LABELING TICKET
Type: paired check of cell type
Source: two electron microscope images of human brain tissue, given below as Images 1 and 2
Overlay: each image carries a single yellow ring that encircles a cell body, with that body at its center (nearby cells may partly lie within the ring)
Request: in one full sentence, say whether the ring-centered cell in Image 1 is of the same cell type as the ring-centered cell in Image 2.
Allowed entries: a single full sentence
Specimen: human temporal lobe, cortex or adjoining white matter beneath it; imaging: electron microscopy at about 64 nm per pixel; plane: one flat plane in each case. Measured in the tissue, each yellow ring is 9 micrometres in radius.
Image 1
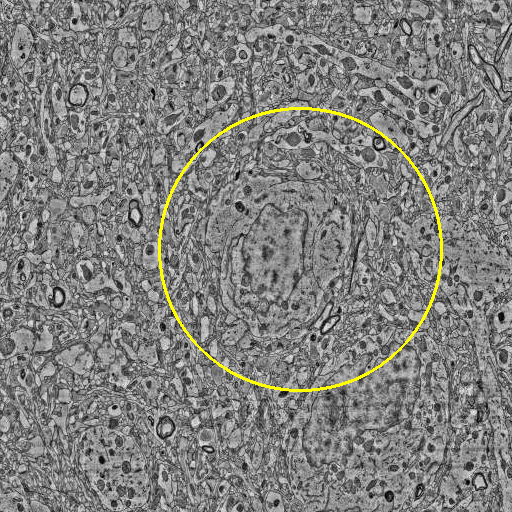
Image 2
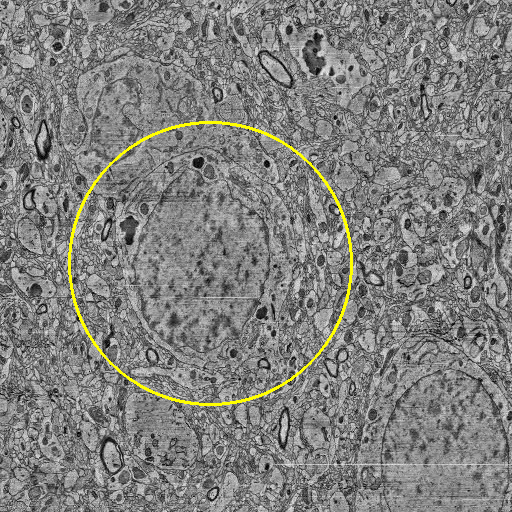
Yes, the cells centered in the rings of Image 1 and Image 2 share one type.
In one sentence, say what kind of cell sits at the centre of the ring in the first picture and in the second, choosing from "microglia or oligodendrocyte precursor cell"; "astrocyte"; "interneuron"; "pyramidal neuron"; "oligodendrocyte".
Both the first and the second picture show an interneuron in the ring.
